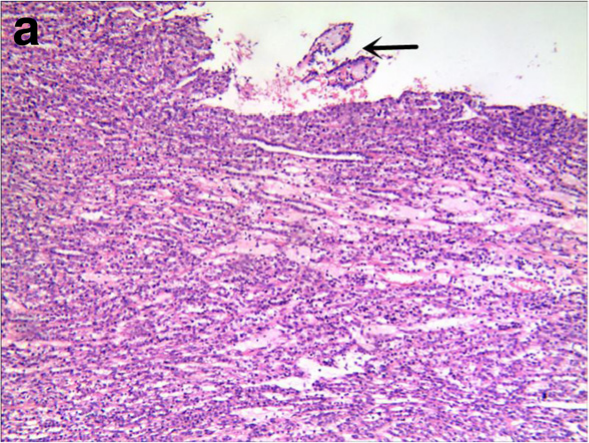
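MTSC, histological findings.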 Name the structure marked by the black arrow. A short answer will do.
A: papillary structure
